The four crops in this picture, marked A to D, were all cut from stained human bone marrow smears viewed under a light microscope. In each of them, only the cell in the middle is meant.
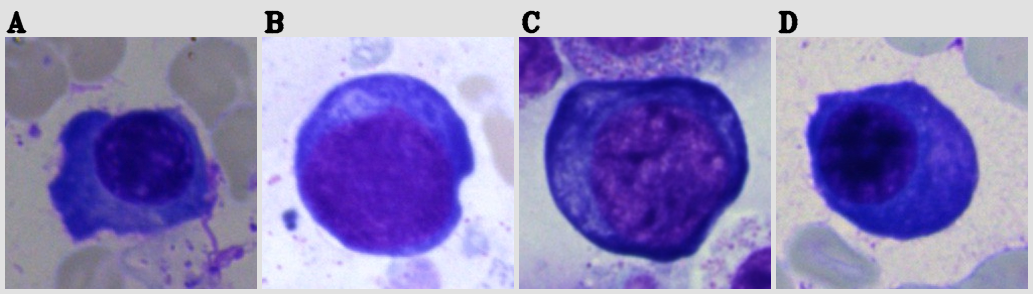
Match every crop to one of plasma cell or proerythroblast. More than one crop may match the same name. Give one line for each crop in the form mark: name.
A: plasma cell
B: proerythroblast
C: proerythroblast
D: plasma cell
